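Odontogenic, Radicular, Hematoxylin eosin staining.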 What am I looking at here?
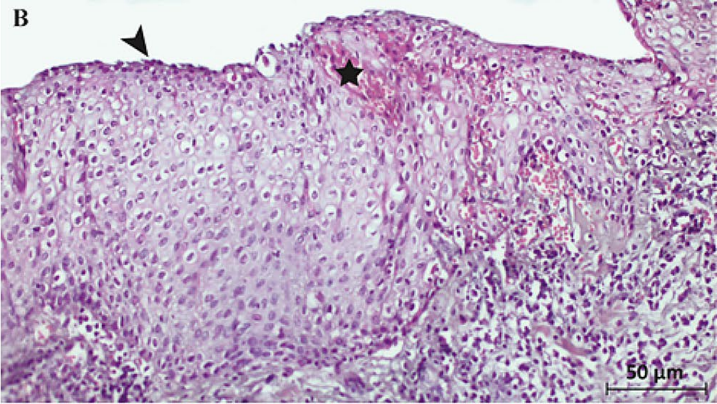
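This is the wall of a cyst lined by a thick stratified squamous epithelium whose many layers of cells have round purple nuclei and pale pink cytoplasm. Within the epithelium near the surface lies a pink-red eosinophilic area, and the tissue beneath is crowded with small dark inflammatory cells and vessels with red blood cells.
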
